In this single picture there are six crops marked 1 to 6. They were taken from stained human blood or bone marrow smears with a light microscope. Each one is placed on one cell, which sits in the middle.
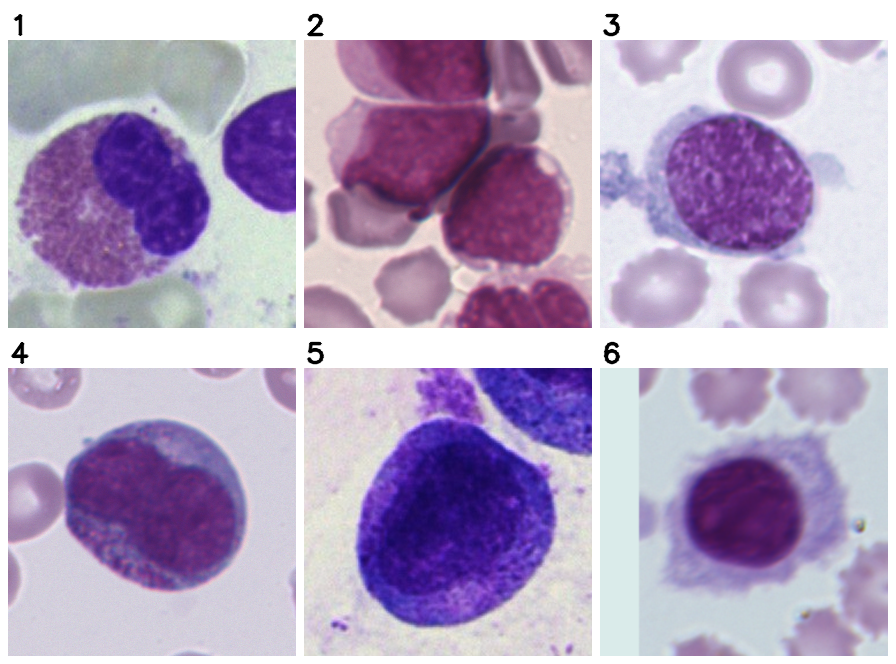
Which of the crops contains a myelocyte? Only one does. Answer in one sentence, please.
Crop 5, and no other, shows a myelocyte.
